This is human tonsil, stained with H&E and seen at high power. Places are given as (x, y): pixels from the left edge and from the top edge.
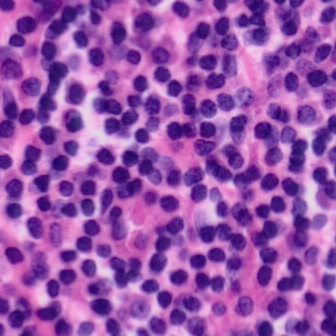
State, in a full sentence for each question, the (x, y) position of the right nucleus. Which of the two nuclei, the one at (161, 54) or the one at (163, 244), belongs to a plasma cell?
Of these two nuclei, it is the one at (161, 54) that belongs to a plasma cell.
